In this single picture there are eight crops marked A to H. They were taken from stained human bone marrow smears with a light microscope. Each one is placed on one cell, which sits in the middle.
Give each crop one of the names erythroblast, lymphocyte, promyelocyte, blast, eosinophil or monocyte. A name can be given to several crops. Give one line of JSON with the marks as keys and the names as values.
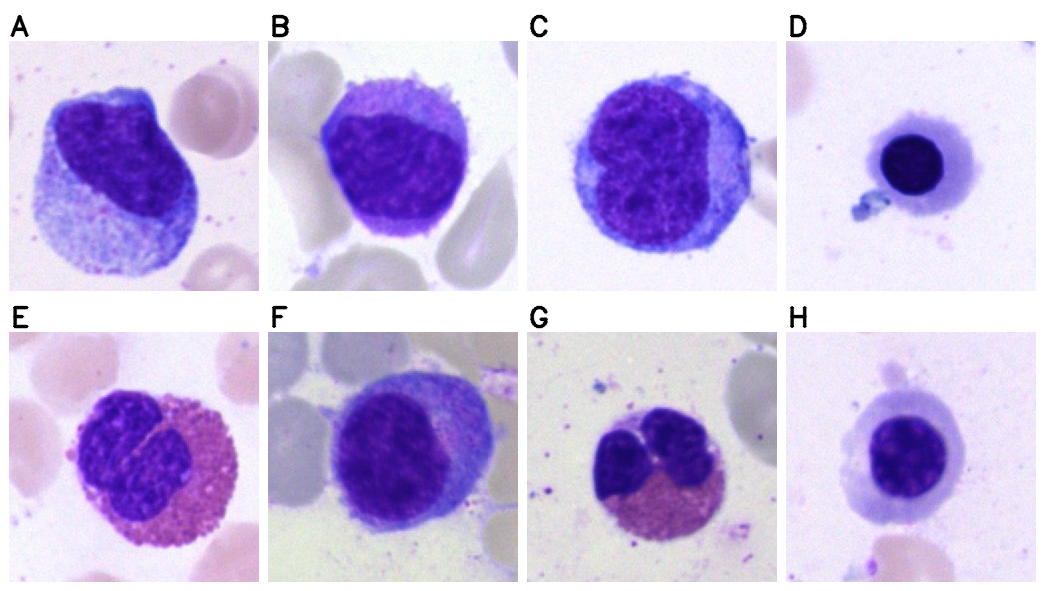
{"A": "promyelocyte", "B": "monocyte", "C": "blast", "D": "erythroblast", "E": "eosinophil", "F": "monocyte", "G": "eosinophil", "H": "erythroblast"}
